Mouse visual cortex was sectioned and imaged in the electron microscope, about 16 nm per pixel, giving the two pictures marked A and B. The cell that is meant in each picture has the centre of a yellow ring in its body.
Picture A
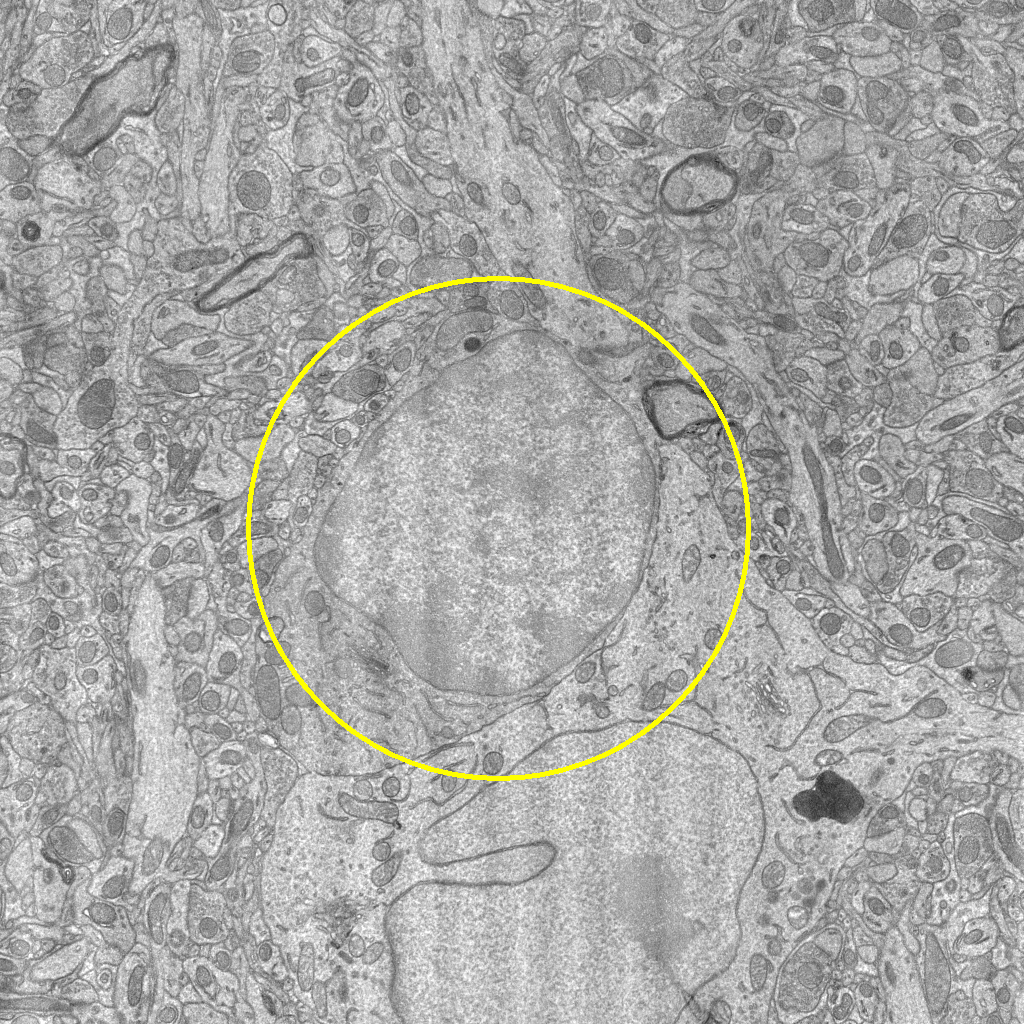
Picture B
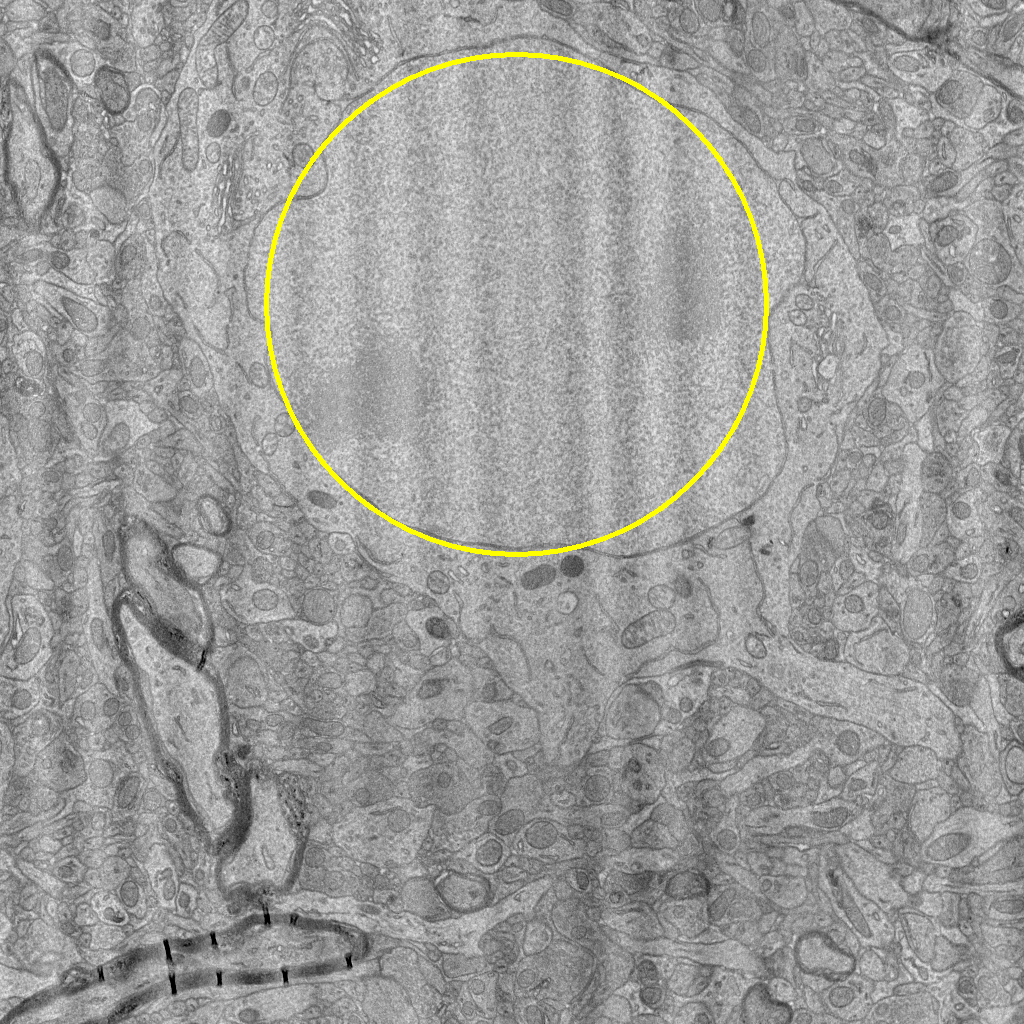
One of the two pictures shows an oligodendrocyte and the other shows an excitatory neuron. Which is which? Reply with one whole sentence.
Picture B shows an excitatory neuron, while picture A shows an oligodendrocyte.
